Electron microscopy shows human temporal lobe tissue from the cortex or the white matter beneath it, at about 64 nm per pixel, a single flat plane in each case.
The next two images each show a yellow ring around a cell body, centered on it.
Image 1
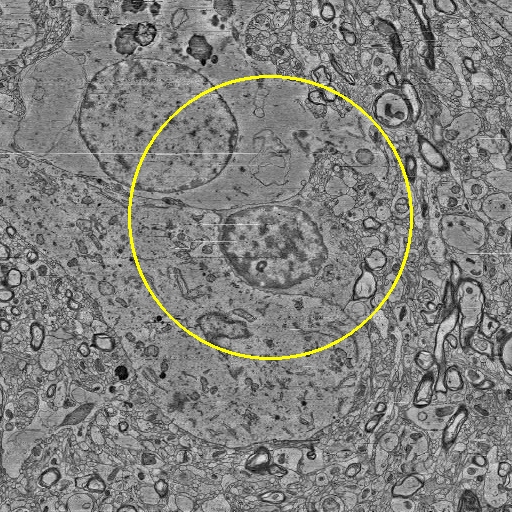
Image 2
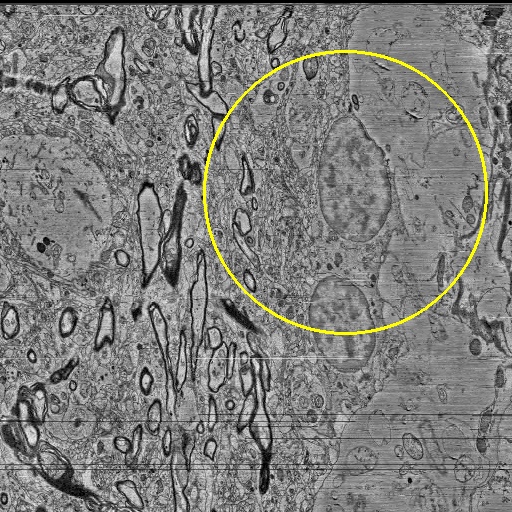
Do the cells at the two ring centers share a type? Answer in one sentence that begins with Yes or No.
Yes, across the two images the cells at the ring centers share one type.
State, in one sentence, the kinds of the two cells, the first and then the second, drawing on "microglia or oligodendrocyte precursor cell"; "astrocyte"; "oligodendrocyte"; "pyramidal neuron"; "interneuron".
In each of the two pictures, the ringed cell is an oligodendrocyte.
